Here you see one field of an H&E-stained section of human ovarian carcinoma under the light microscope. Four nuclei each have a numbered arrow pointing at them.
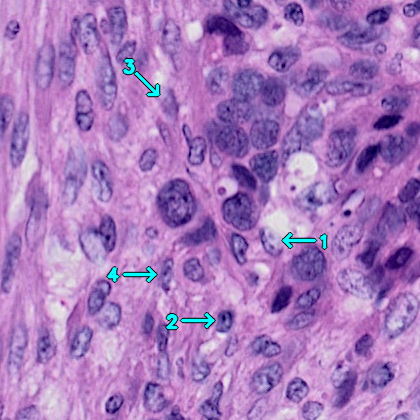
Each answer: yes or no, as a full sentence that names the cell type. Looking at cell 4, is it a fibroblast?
Yes, number 4 corresponds to a fibroblast.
